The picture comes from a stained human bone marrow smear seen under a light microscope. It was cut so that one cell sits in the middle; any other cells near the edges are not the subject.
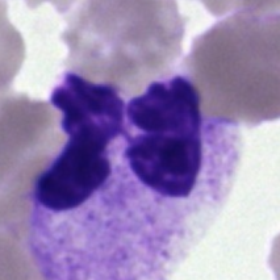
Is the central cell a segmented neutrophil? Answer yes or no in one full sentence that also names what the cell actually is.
Yes, it is a segmented neutrophil that lies in the middle.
